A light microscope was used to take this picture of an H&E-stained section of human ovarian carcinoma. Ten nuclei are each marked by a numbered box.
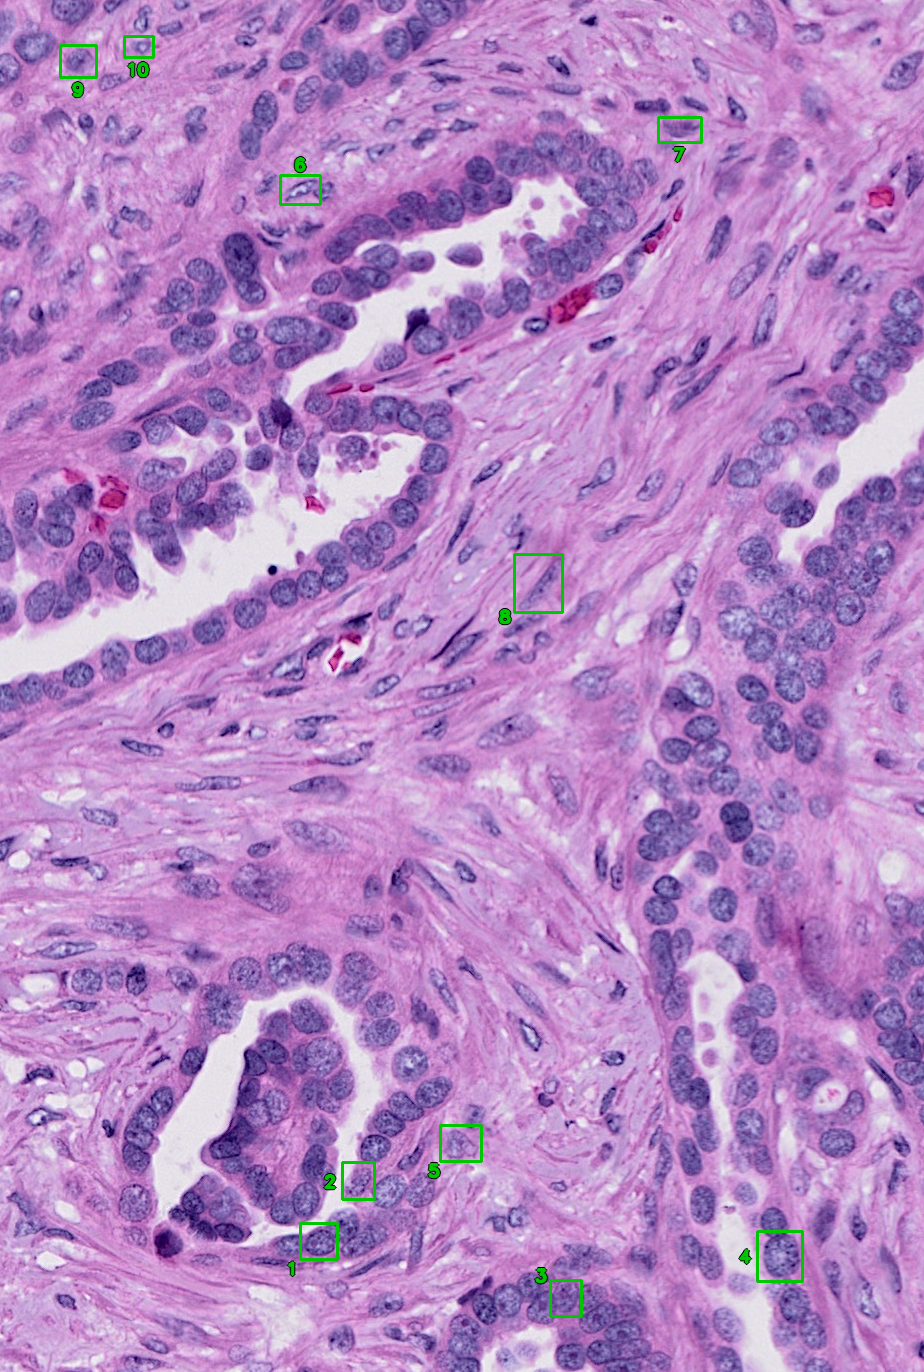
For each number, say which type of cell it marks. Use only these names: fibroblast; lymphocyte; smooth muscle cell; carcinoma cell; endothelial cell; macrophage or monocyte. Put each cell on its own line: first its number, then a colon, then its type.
1: carcinoma cell
2: carcinoma cell
3: carcinoma cell
4: carcinoma cell
5: fibroblast
6: fibroblast
7: fibroblast
8: fibroblast
9: fibroblast
10: fibroblast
